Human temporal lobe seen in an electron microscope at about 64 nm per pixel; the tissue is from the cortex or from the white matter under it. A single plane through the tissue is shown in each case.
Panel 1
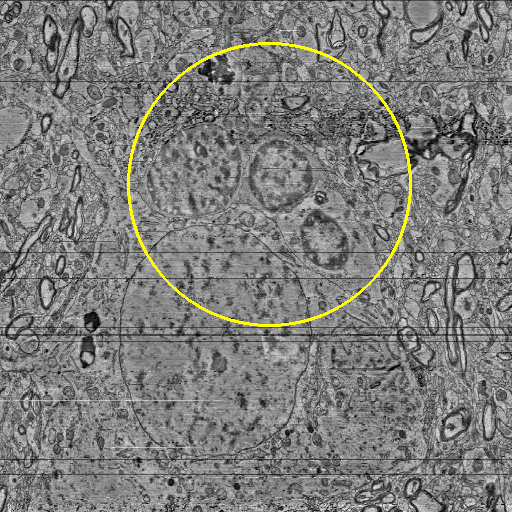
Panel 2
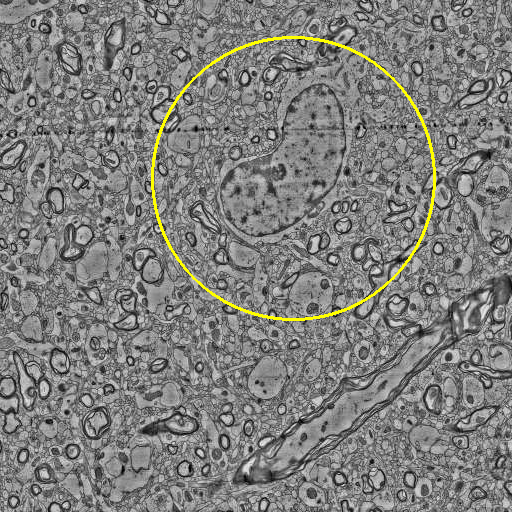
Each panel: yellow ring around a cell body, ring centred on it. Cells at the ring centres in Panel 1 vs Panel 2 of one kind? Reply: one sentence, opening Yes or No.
No, Panel 1 and Panel 2 have cells of two kinds at the ring centres.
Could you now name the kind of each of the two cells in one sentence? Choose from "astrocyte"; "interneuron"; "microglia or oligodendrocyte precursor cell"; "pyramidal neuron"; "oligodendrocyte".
The first ring encloses an oligodendrocyte; the second ring encloses a microglial cell or oligodendrocyte precursor cell.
